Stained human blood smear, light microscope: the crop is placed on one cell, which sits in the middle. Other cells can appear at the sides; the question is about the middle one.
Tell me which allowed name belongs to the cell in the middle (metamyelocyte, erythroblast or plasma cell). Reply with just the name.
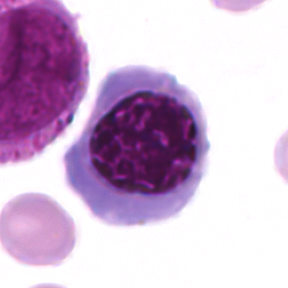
erythroblast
